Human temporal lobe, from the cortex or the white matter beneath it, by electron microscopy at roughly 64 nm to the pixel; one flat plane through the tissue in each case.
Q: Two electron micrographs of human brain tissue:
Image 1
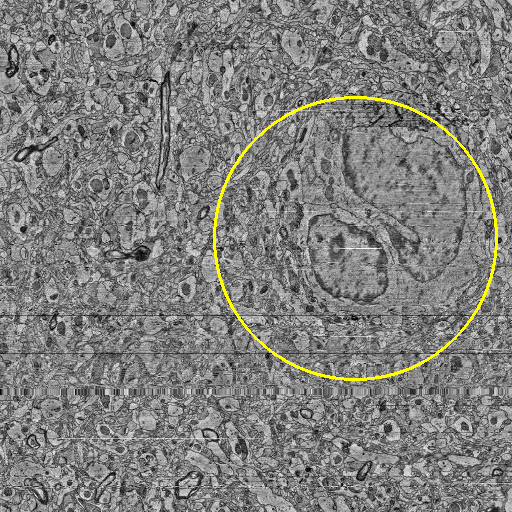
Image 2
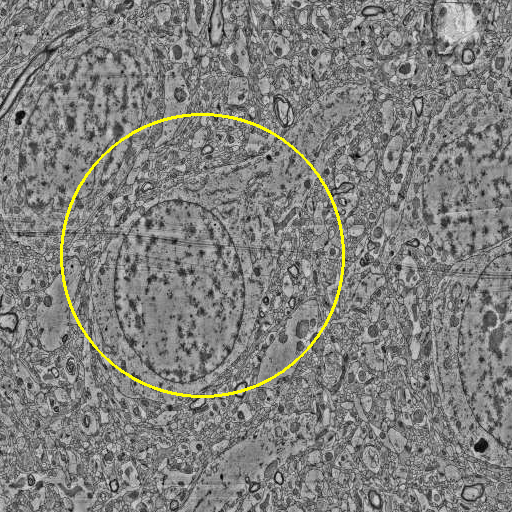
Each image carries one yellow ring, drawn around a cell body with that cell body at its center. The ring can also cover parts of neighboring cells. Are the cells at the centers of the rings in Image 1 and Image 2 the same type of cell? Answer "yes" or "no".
no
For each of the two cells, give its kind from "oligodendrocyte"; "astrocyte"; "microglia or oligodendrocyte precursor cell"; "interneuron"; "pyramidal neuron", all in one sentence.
The first picture has a microglial cell or oligodendrocyte precursor cell in its ring, the second has a pyramidal neuron.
